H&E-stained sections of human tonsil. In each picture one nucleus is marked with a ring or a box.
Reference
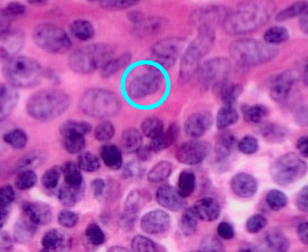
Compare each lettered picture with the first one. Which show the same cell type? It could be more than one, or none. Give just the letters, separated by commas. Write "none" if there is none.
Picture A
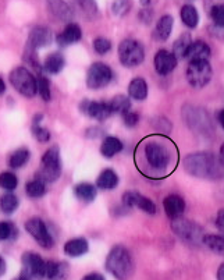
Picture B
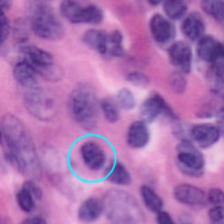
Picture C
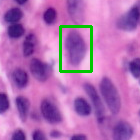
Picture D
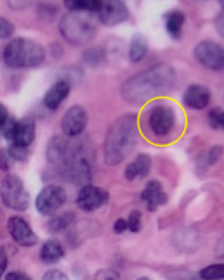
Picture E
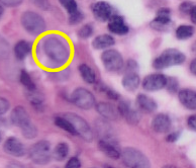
A, B, C, D, E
